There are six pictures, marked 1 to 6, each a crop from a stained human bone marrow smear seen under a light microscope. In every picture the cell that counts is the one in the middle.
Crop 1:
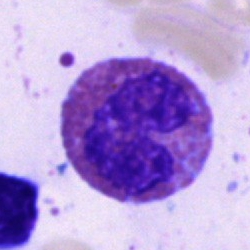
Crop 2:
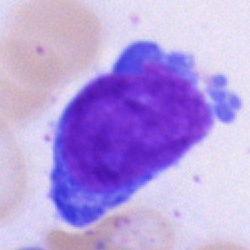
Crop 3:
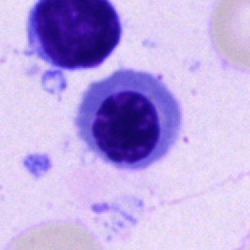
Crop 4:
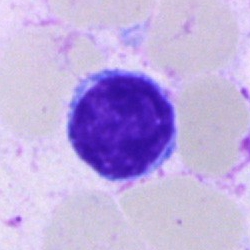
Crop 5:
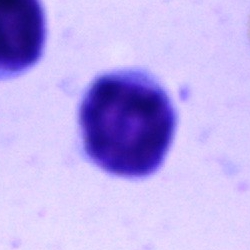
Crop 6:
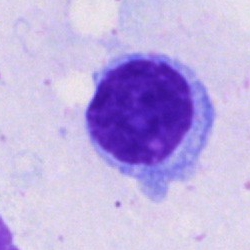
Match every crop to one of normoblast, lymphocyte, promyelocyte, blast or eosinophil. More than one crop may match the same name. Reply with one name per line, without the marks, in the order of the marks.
eosinophil
blast
normoblast
lymphocyte
lymphocyte
lymphocyte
